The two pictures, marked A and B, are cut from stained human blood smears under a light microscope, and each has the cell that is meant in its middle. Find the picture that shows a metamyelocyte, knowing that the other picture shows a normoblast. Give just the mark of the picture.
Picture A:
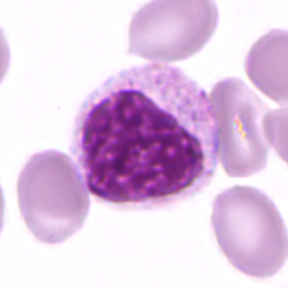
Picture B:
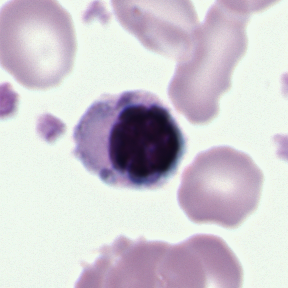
A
